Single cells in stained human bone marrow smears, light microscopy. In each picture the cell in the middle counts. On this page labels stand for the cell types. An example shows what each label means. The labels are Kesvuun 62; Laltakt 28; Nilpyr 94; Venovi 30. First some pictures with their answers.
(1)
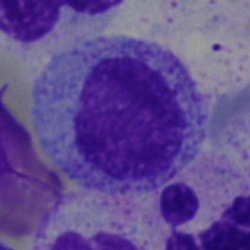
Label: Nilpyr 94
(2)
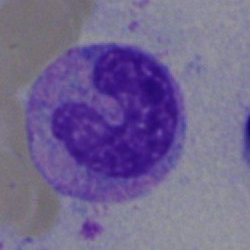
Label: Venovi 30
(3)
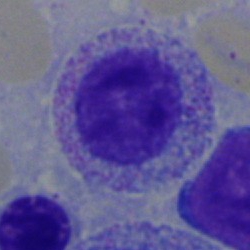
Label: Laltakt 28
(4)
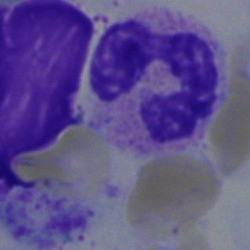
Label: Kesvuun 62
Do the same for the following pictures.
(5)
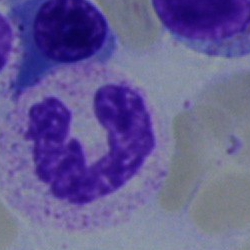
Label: Venovi 30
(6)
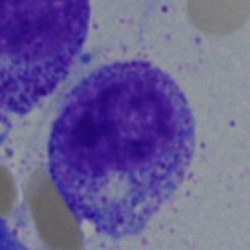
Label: Laltakt 28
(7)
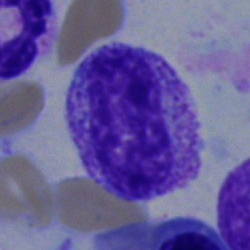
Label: Laltakt 28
